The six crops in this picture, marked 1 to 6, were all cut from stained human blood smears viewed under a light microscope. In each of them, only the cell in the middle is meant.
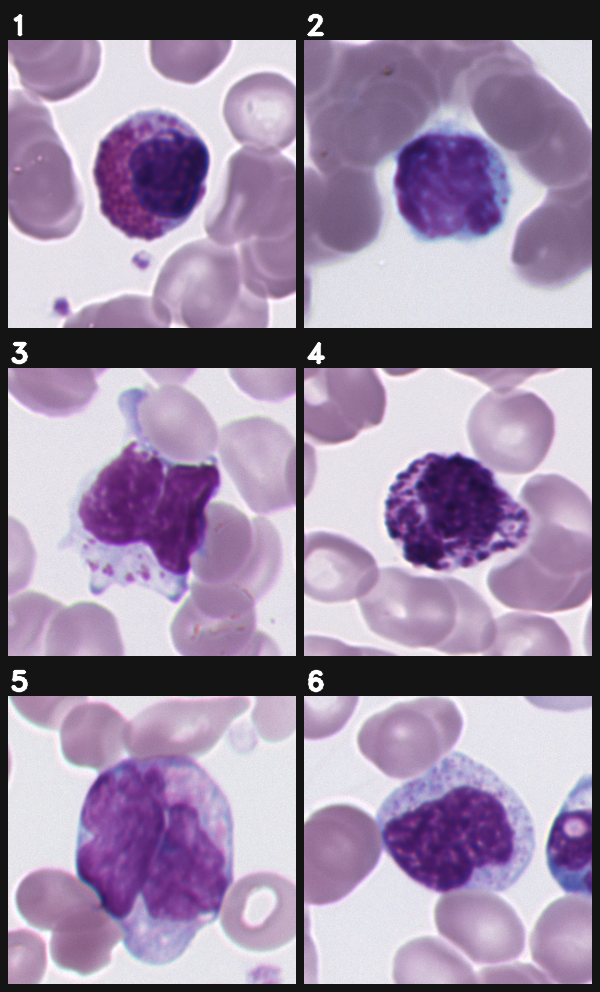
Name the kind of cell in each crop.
1: eosinophil
2: typical lymphocyte
3: large granular lymphocyte
4: basophil
5: atypical promyelocyte
6: band neutrophil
